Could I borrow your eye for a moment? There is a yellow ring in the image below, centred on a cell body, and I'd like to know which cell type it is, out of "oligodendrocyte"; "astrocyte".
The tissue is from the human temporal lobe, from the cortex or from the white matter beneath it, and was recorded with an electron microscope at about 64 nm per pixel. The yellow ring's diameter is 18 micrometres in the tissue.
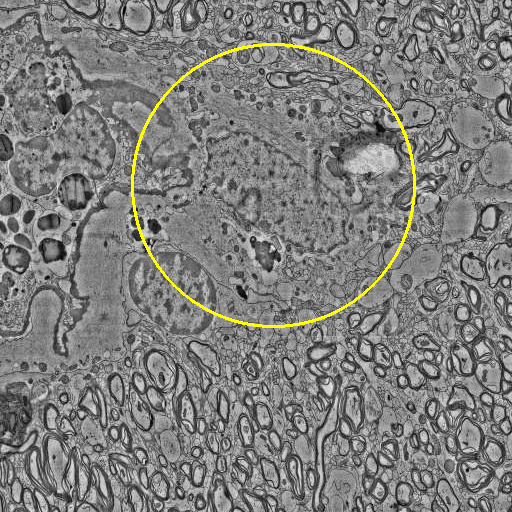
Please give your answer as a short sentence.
The cell body at the centre is that of an astrocyte.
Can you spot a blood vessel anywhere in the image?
Yes.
